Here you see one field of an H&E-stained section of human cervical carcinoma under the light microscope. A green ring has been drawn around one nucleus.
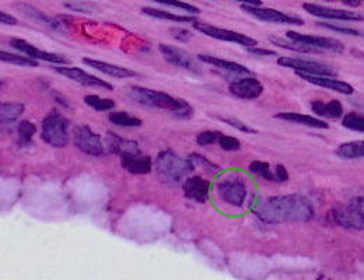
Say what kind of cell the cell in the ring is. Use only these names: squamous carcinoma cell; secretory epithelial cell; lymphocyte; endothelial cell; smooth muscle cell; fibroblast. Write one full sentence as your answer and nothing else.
Within the stained tissue, the cell in the ring is a secretory epithelial cell.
